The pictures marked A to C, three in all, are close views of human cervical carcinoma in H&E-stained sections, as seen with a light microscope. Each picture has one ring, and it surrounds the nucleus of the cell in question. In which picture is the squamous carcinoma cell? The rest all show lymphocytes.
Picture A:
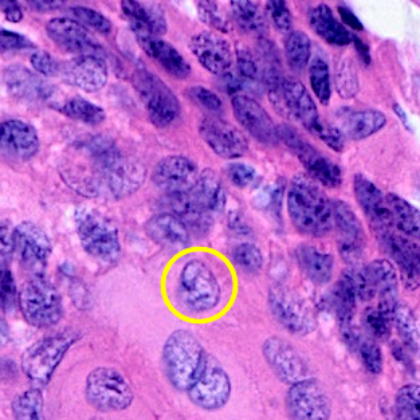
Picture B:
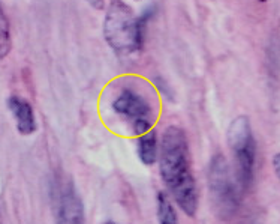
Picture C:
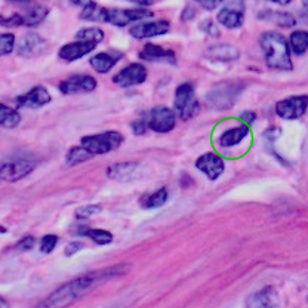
A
